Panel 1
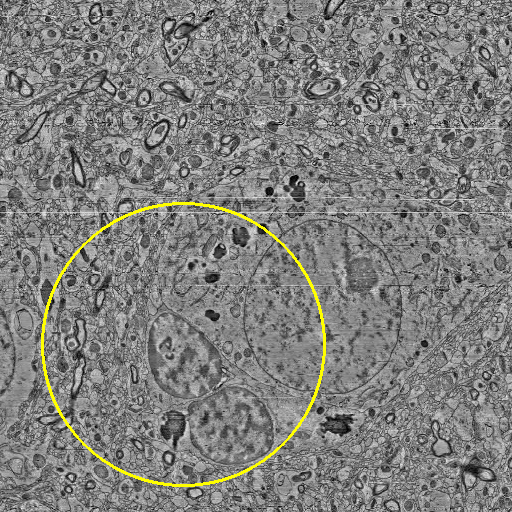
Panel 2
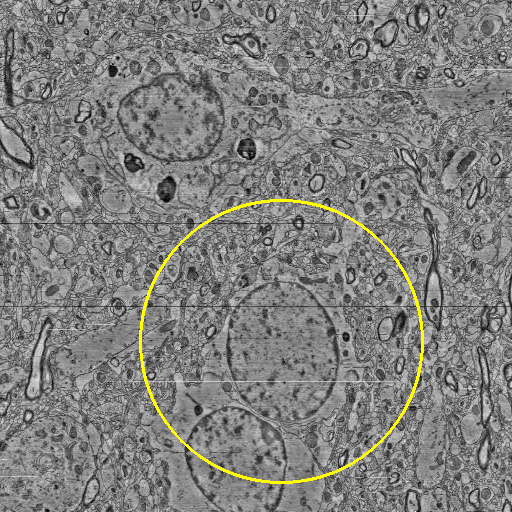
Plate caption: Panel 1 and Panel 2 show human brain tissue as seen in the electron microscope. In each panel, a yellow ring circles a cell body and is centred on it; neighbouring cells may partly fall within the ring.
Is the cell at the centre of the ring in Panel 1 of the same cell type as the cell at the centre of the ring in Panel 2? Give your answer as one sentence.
No, the two cells are of two types.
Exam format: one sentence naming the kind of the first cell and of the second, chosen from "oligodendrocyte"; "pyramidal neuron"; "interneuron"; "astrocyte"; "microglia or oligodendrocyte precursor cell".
The first picture's cell is an oligodendrocyte, and the second picture's cell is an astrocyte.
